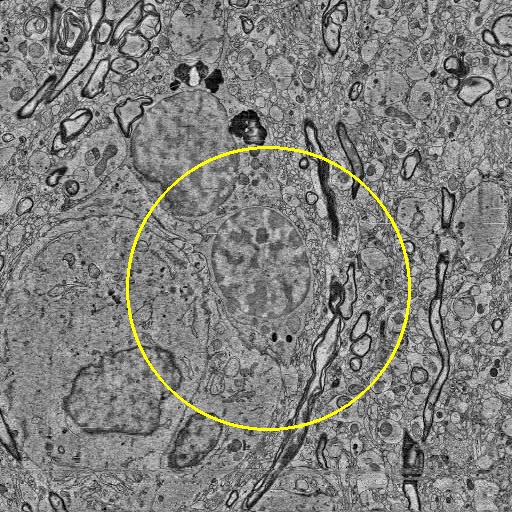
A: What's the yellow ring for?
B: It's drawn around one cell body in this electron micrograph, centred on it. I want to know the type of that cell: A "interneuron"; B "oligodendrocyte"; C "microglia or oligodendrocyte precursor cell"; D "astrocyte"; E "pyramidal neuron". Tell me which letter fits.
B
